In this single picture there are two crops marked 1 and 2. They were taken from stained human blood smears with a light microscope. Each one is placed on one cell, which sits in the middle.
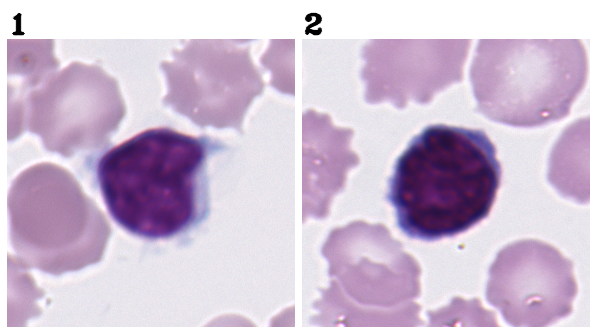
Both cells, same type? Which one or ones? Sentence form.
No, the cell that crop 1 shows is a hairy cell, and the one crop 2 shows is a typical lymphocyte.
